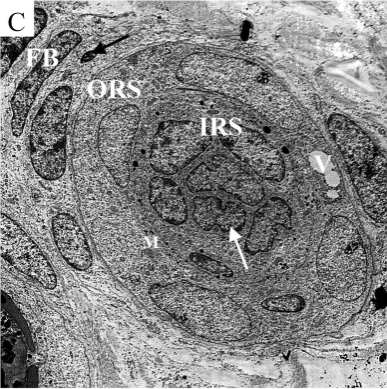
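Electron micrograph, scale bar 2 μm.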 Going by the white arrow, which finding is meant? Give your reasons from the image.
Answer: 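The white arrow points to a small, irregular nucleus with indented outline in the central cell group. The nucleus is darker and smaller than the surrounding nuclei. The answer: shrunken indented nucleus.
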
